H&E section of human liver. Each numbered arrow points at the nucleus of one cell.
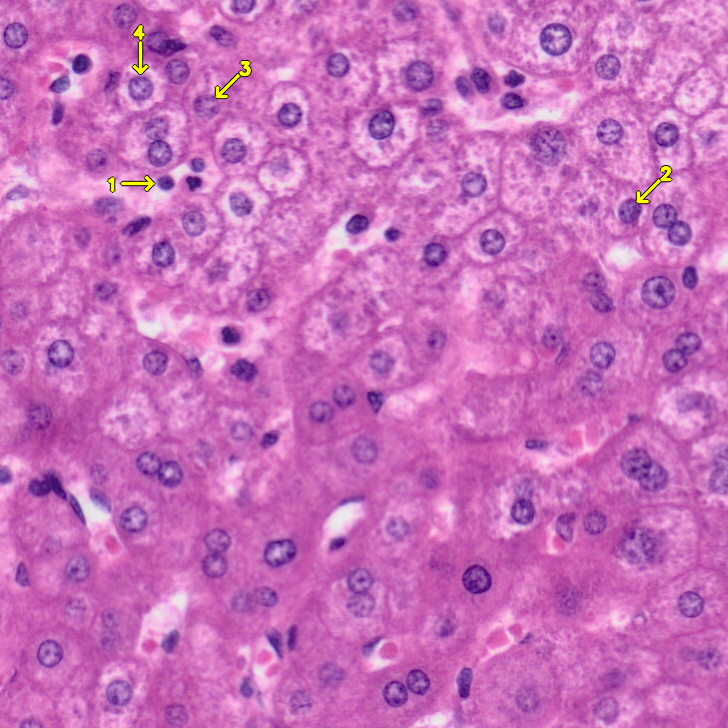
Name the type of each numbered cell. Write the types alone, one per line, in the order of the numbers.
lymphocyte
hepatocyte
hepatocyte
hepatocyte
